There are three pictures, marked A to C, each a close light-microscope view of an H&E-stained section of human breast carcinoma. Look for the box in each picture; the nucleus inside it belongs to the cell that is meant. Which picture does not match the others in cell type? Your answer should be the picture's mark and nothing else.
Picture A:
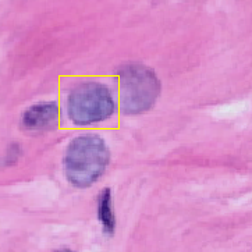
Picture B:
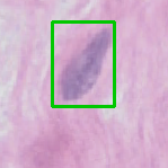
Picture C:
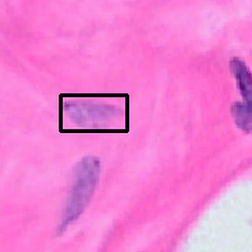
A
